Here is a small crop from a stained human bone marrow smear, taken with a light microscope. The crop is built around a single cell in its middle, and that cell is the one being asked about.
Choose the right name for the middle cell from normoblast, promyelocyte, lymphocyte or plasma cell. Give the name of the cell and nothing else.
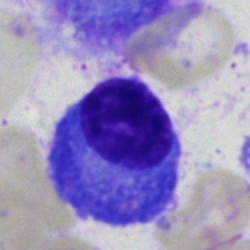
plasma cell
